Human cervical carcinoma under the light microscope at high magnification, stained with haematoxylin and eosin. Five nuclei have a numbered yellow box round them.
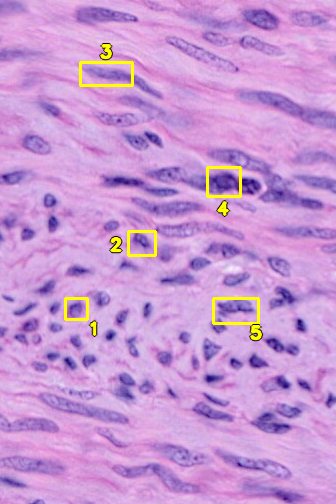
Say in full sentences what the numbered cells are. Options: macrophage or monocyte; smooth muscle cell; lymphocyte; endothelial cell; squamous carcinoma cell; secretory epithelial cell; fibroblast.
Cells 1, 2 and 3 are smooth muscle cells. Cell 4 is a lymphocyte. Cell 5 is a fibroblast.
